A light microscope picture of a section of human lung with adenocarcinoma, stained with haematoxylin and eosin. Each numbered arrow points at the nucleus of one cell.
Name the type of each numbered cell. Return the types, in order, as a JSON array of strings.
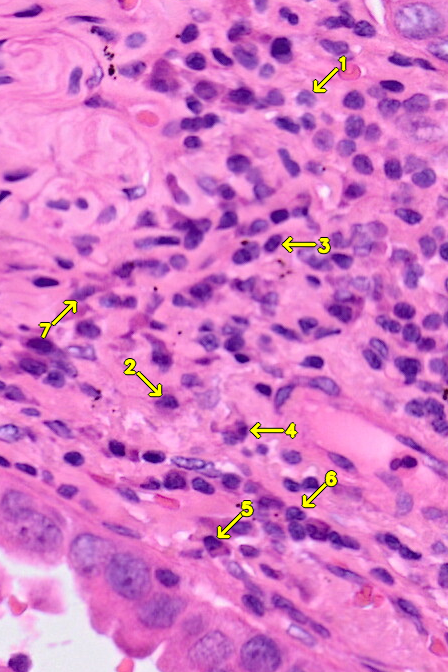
["lymphocyte", "plasma cell", "lymphocyte", "plasma cell", "plasma cell", "lymphocyte", "plasma cell"]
